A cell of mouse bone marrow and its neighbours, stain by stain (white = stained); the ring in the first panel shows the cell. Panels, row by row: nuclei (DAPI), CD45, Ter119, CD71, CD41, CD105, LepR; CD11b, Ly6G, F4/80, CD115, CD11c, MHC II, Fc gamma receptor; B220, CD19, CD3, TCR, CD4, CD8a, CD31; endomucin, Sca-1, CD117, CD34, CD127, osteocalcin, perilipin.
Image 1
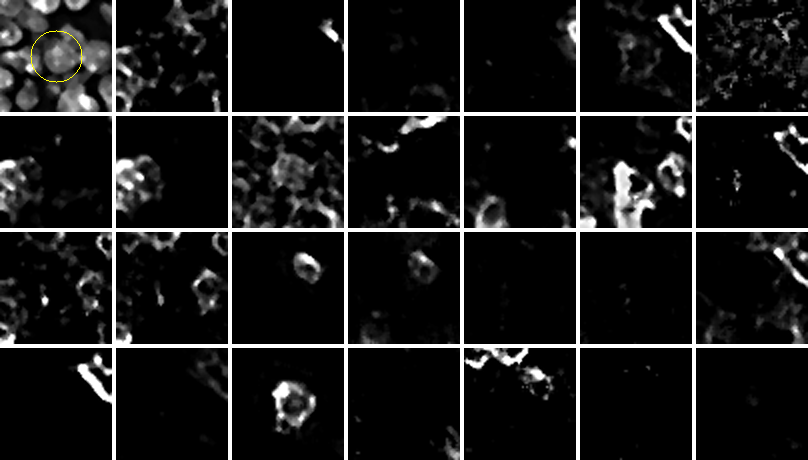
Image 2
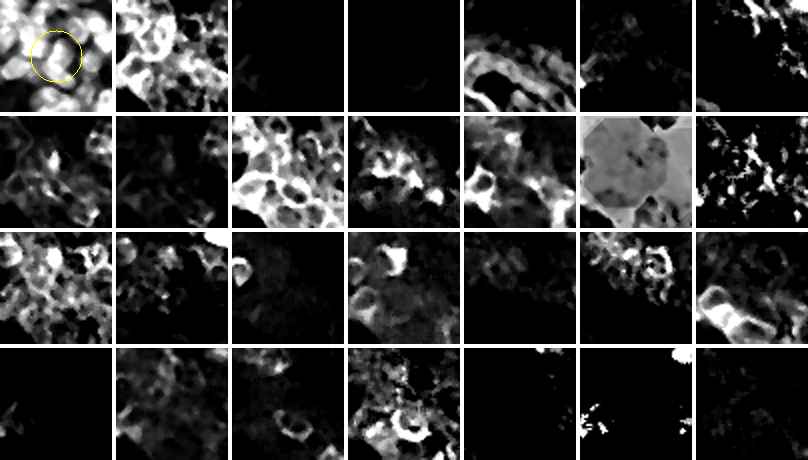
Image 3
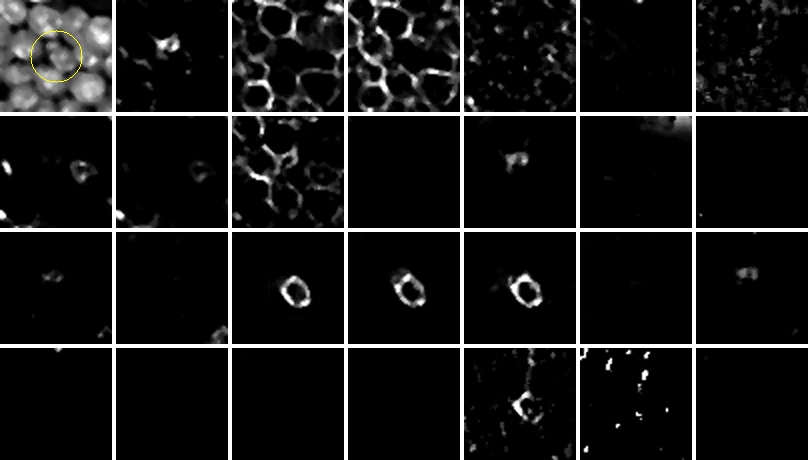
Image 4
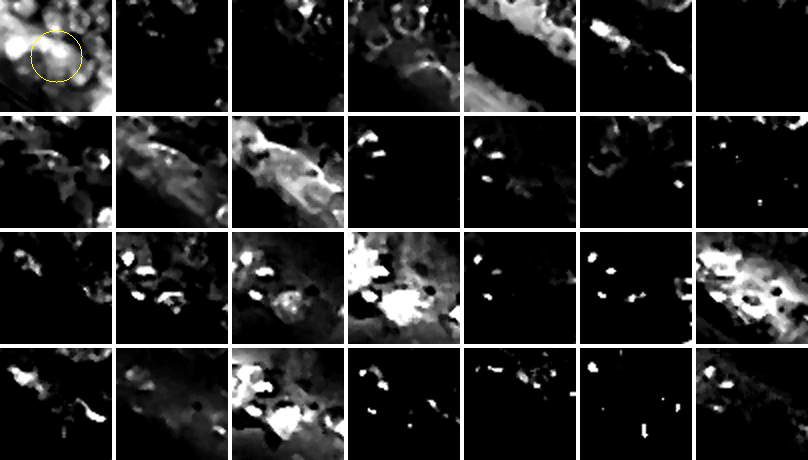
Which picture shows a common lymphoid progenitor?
Picture 3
